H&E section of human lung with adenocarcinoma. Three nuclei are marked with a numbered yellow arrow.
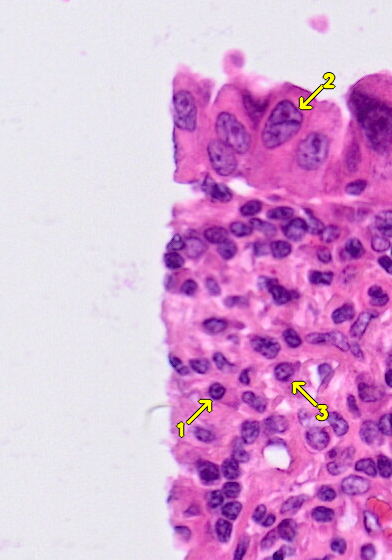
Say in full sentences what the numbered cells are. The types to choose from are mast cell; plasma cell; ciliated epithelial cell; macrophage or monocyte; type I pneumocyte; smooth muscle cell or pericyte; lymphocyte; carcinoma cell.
Cells 1 and 3 are plasma cells. Cell 2 is a carcinoma cell.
